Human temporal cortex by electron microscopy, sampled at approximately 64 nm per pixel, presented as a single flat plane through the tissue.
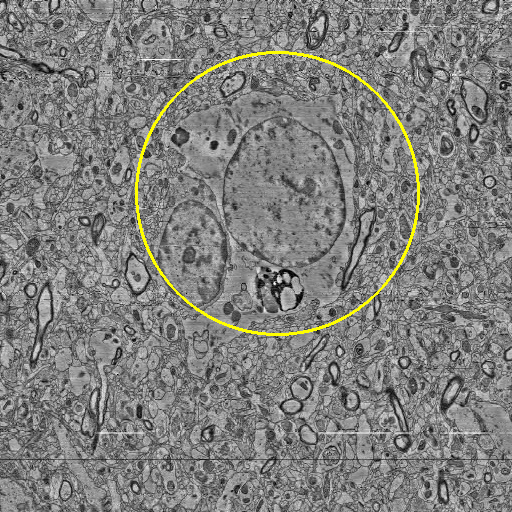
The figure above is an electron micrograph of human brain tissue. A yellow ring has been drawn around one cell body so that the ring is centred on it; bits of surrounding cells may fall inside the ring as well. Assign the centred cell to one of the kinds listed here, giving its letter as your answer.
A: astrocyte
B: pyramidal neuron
A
